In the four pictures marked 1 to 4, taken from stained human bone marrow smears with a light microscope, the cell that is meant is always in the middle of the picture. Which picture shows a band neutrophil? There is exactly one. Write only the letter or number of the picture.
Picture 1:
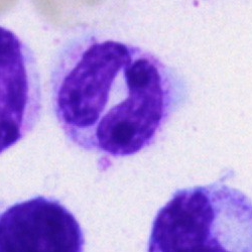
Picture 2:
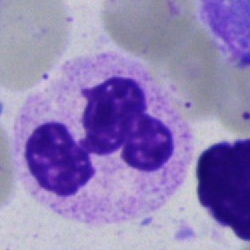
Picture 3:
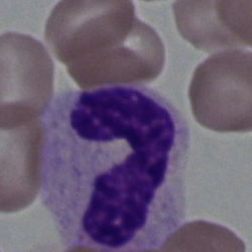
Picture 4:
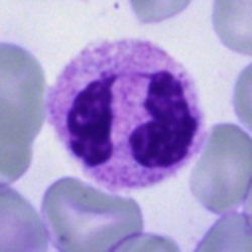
3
